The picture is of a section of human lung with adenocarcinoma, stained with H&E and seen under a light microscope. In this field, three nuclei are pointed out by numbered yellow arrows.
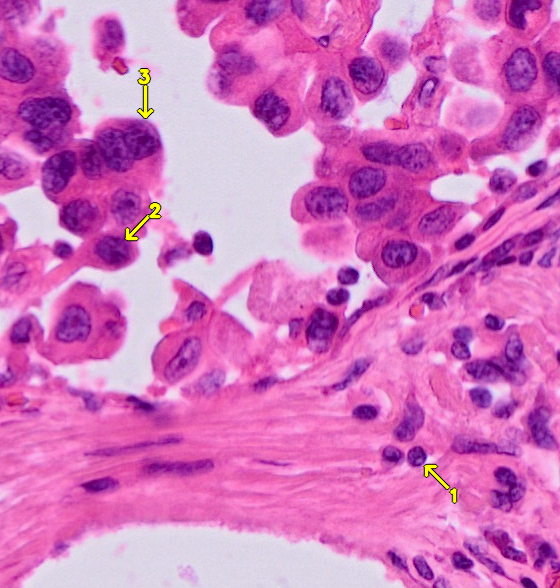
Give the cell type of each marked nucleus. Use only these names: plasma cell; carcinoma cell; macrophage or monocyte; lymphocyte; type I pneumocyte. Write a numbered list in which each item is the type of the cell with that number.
1. lymphocyte
2. carcinoma cell
3. carcinoma cell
